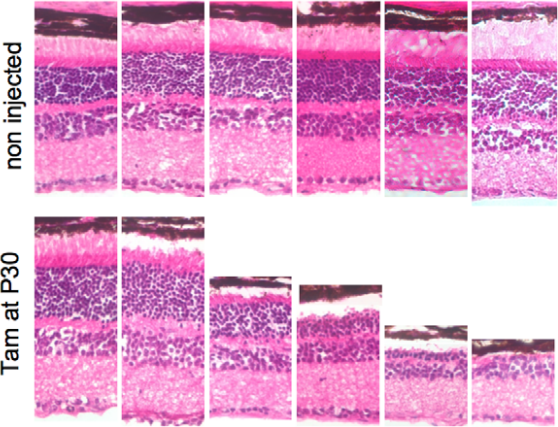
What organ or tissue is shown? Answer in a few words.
Retinas.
